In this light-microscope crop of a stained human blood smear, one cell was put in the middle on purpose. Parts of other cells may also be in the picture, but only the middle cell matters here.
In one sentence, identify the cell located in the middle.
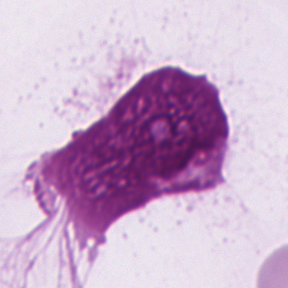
This crop is built around a smudge cell at its centre.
